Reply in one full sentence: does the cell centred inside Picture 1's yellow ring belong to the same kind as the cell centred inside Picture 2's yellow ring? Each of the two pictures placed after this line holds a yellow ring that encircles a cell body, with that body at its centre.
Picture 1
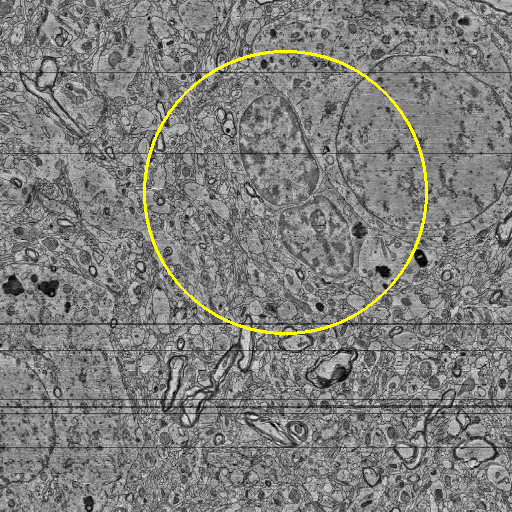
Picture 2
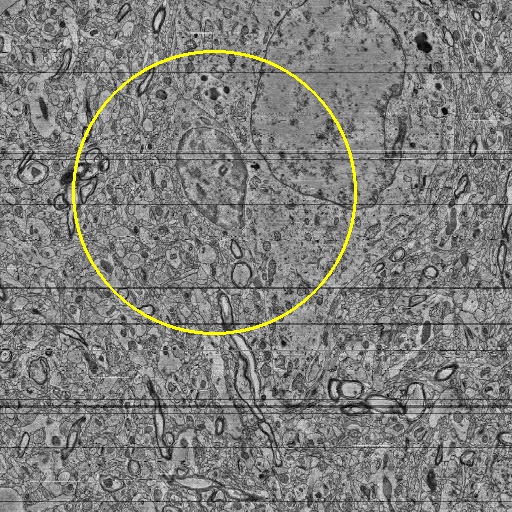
Yes, the ring-centred cells in Picture 1 and Picture 2 are of one and the same kind.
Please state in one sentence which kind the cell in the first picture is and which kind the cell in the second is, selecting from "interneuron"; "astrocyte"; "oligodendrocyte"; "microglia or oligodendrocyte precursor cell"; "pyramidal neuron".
In both pictures the ring is centred on an oligodendrocyte.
